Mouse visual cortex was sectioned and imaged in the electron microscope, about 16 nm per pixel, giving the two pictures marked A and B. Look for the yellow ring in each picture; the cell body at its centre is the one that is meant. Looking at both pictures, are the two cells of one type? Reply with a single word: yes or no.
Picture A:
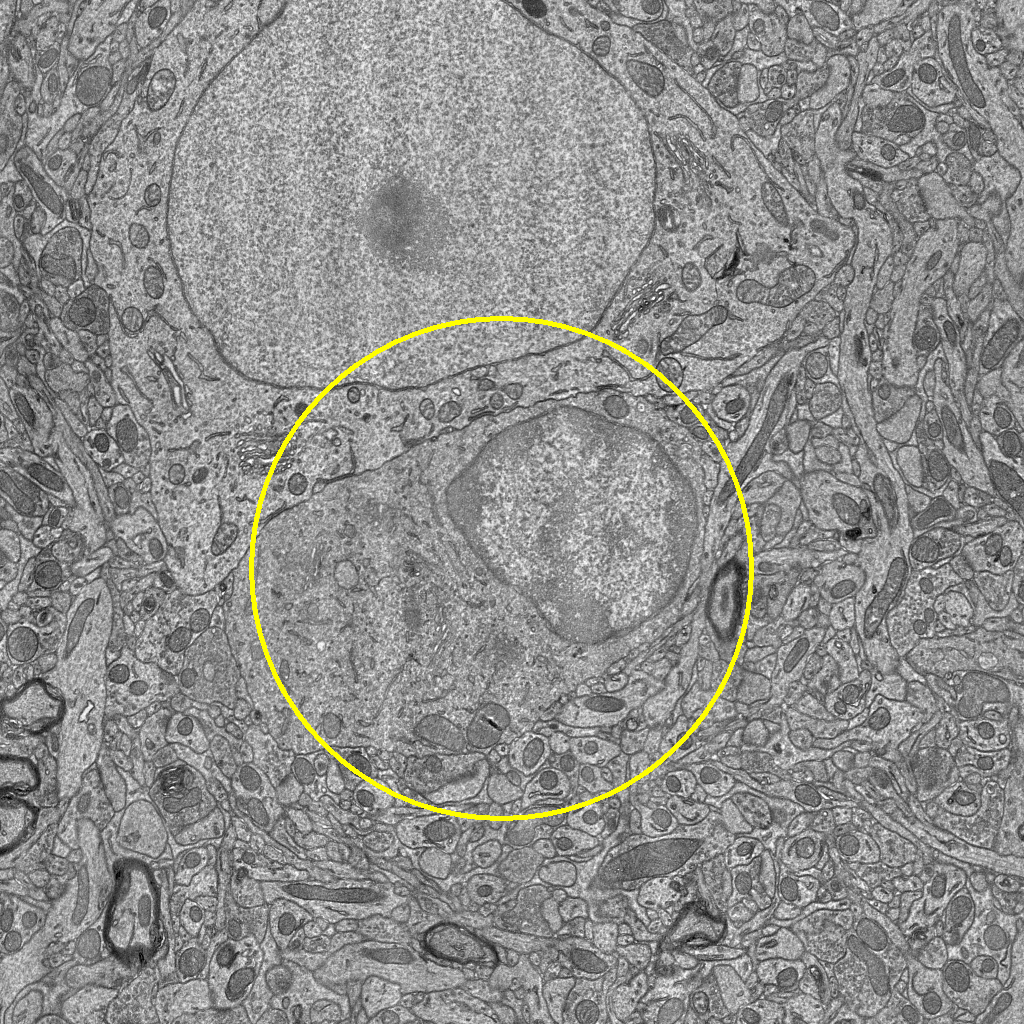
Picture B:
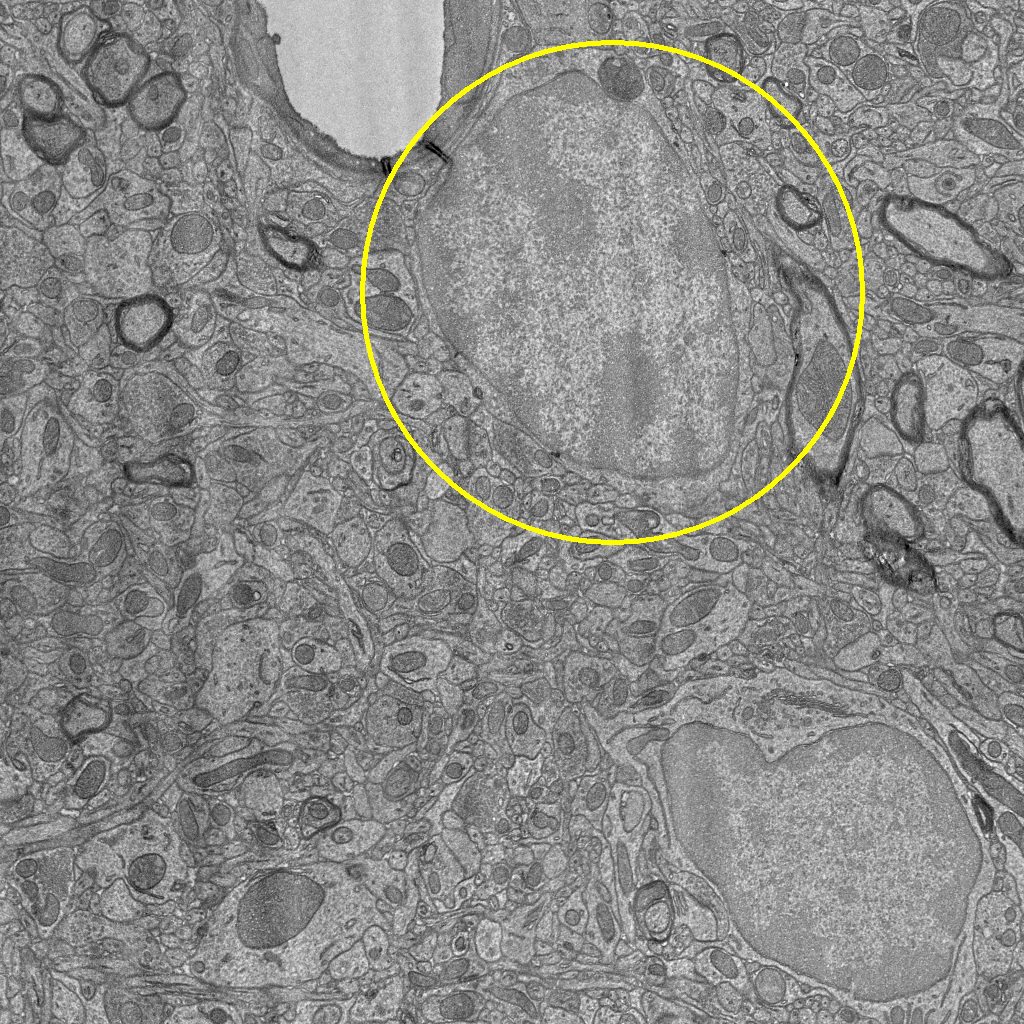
yes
